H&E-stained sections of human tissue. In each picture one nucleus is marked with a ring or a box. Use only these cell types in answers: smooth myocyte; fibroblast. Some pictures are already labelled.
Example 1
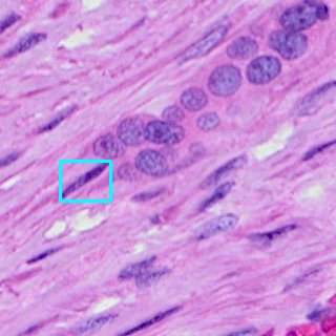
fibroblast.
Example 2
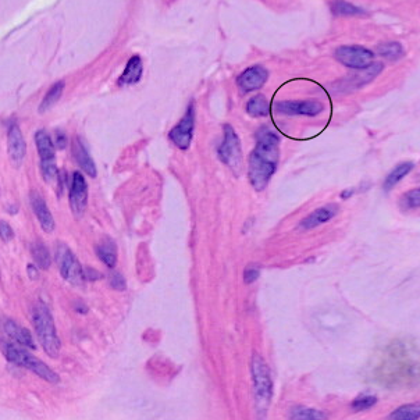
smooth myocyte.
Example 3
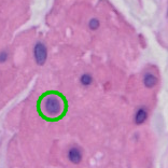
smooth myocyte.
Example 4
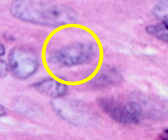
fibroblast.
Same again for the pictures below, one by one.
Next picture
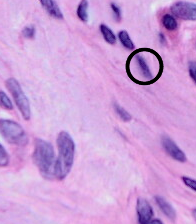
fibroblast.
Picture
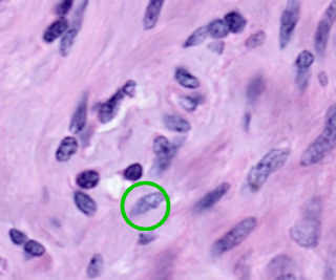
fibroblast.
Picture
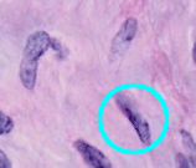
fibroblast.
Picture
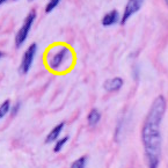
smooth myocyte.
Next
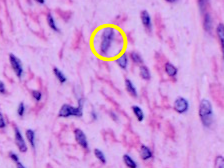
smooth myocyte.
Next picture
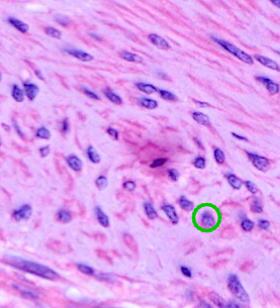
smooth myocyte.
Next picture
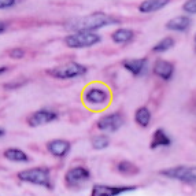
smooth myocyte.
